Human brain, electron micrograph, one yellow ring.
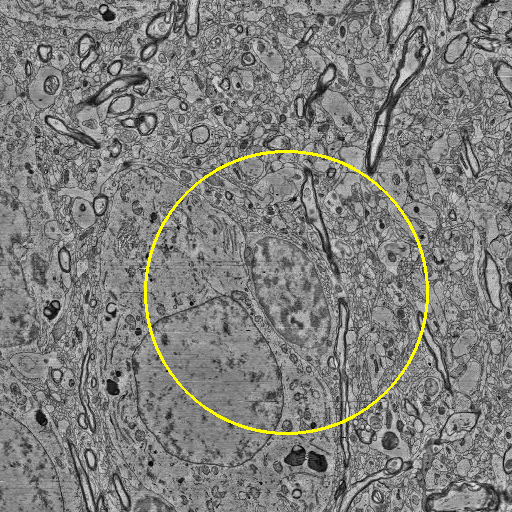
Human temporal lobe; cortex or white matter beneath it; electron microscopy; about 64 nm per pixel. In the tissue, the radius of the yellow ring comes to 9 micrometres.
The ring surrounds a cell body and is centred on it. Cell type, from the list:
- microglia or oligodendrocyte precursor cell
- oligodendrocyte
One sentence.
The yellow ring circles an oligodendrocyte.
